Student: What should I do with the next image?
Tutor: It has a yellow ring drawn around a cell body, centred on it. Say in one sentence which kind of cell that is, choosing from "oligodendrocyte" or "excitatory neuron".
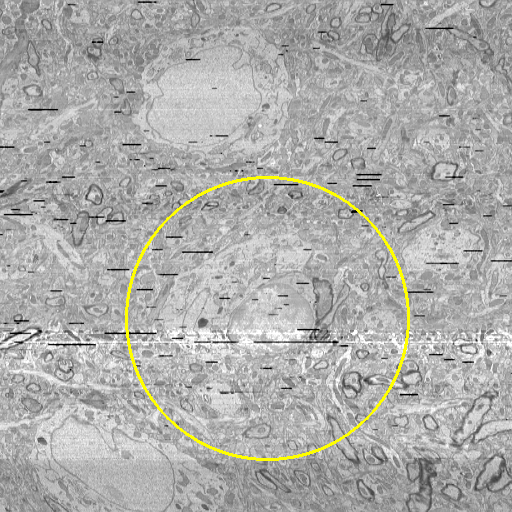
The ring's centre is occupied by an oligodendrocyte.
